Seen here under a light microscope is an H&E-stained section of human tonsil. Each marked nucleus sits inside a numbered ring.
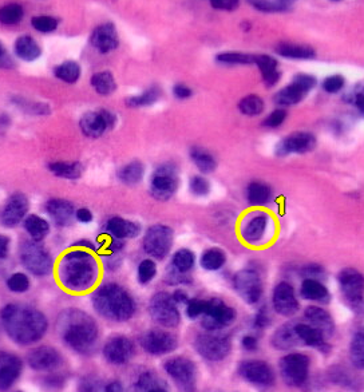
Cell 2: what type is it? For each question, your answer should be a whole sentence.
The correct label for cell 2 is a squamous epithelial cell.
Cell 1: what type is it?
The expected answer is that cell 1 is an endothelial cell.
